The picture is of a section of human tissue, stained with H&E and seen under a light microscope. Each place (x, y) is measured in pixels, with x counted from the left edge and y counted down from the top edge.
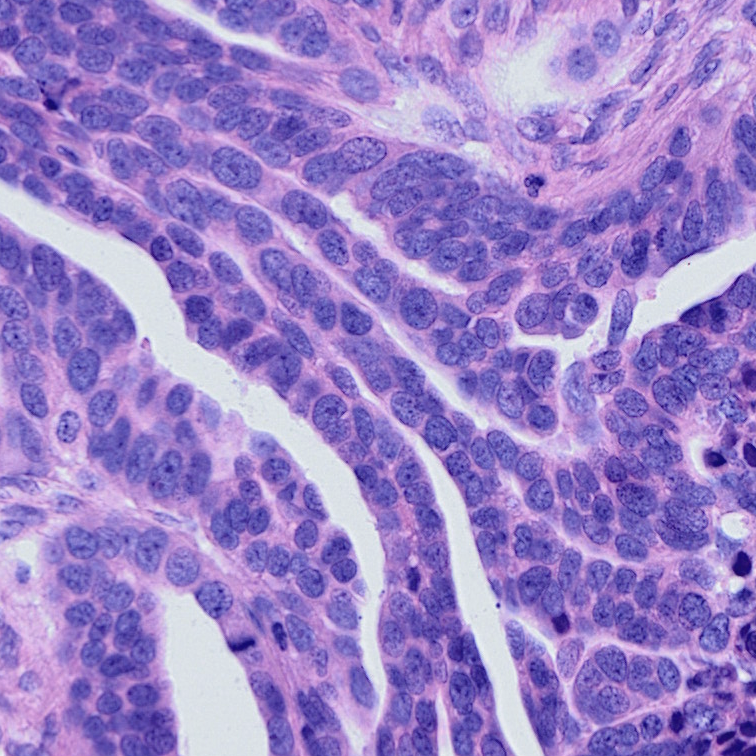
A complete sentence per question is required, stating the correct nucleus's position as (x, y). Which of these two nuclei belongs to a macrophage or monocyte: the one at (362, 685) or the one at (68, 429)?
Of the two nuclei, the one at (68, 429) belongs to a macrophage or monocyte.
